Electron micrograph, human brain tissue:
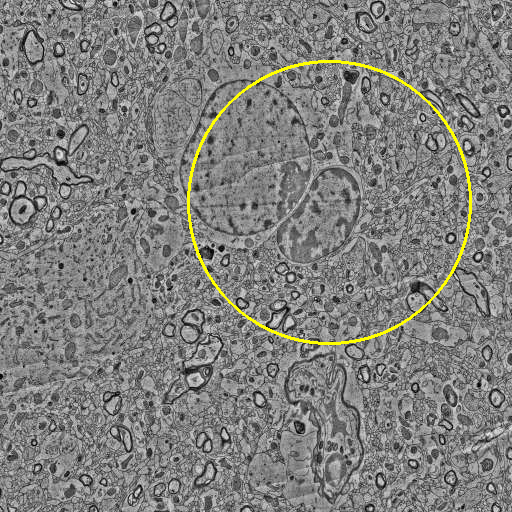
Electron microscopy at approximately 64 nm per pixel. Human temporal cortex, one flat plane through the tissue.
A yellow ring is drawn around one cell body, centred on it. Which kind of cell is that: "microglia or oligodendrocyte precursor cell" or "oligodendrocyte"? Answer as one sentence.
It is a microglial cell or oligodendrocyte precursor cell at the centre of the ring.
